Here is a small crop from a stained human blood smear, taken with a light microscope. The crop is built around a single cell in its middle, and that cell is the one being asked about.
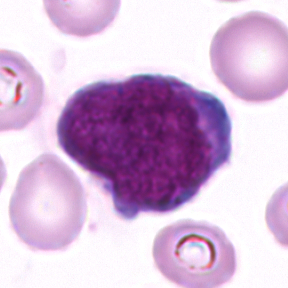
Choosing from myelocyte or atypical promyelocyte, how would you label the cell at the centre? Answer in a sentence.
At the middle of the frame sits an atypical promyelocyte.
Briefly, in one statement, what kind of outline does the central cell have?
The boundary of the cell runs irregularly, ragged in parts or drawn into projections.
